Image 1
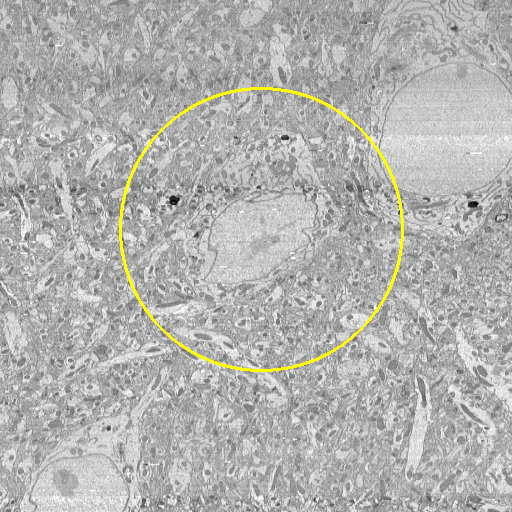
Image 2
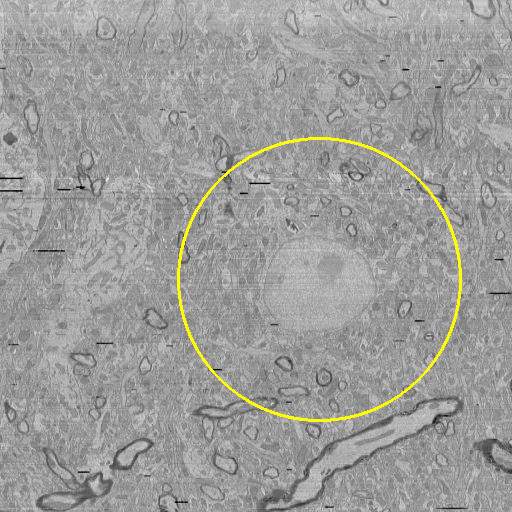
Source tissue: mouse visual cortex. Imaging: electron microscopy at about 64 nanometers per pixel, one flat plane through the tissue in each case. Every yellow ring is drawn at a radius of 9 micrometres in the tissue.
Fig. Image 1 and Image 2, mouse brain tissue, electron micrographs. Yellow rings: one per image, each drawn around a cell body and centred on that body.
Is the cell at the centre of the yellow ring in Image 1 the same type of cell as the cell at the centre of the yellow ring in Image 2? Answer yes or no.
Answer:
no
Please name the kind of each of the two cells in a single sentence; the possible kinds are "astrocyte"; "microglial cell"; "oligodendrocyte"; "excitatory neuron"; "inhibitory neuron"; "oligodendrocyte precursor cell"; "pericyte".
In the first picture the ring is centred on an inhibitory neuron, and in the second on an astrocyte.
